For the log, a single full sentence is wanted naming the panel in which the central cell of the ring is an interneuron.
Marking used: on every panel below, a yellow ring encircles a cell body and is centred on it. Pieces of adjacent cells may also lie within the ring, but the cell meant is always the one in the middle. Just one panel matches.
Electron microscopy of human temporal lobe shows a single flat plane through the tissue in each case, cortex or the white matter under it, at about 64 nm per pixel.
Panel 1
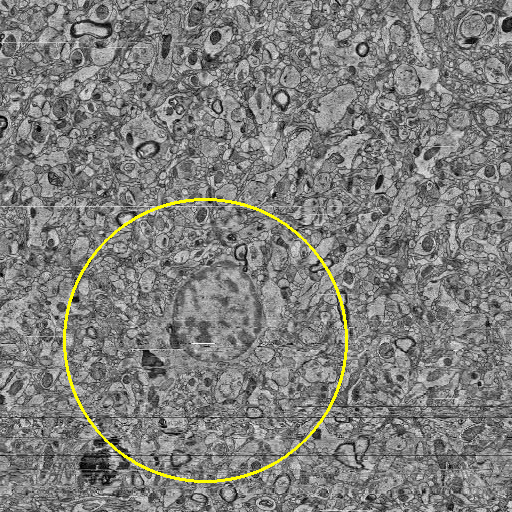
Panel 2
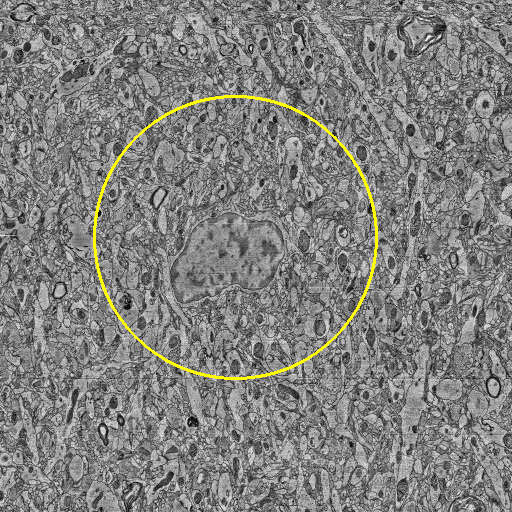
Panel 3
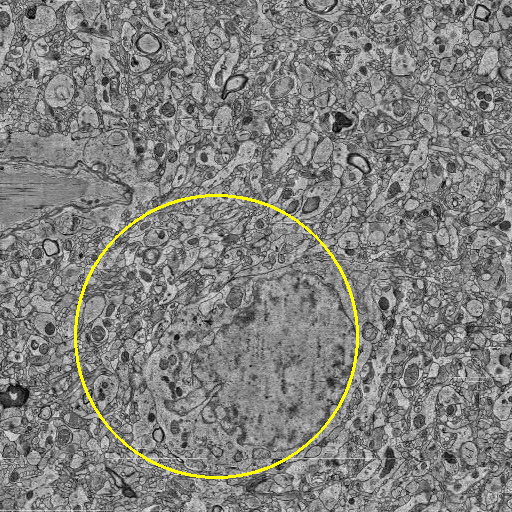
The cell in the middle of the ring in panel 3 is the one asked for.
